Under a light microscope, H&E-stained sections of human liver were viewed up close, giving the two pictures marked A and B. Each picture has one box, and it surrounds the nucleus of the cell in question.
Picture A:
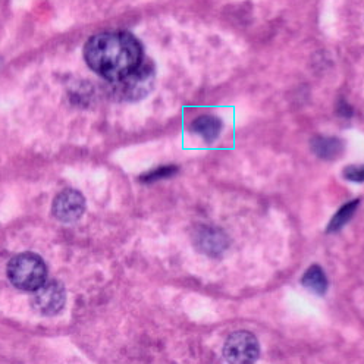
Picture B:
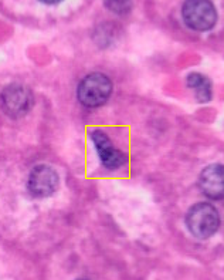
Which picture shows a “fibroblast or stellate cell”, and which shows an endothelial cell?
A: endothelial cell
B: fibroblast or stellate cell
